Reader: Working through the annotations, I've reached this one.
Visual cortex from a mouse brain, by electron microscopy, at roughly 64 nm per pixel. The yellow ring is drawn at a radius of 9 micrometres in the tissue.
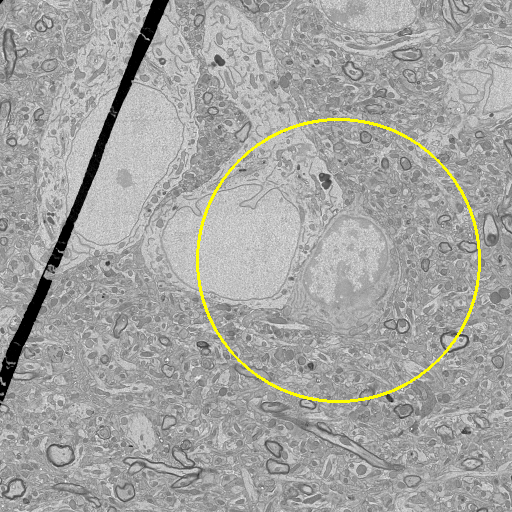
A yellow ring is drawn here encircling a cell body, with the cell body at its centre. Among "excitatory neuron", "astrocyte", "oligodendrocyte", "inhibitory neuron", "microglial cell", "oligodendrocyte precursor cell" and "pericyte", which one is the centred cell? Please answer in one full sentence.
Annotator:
The cell body at the centre of the yellow ring in this image belongs to an oligodendrocyte.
